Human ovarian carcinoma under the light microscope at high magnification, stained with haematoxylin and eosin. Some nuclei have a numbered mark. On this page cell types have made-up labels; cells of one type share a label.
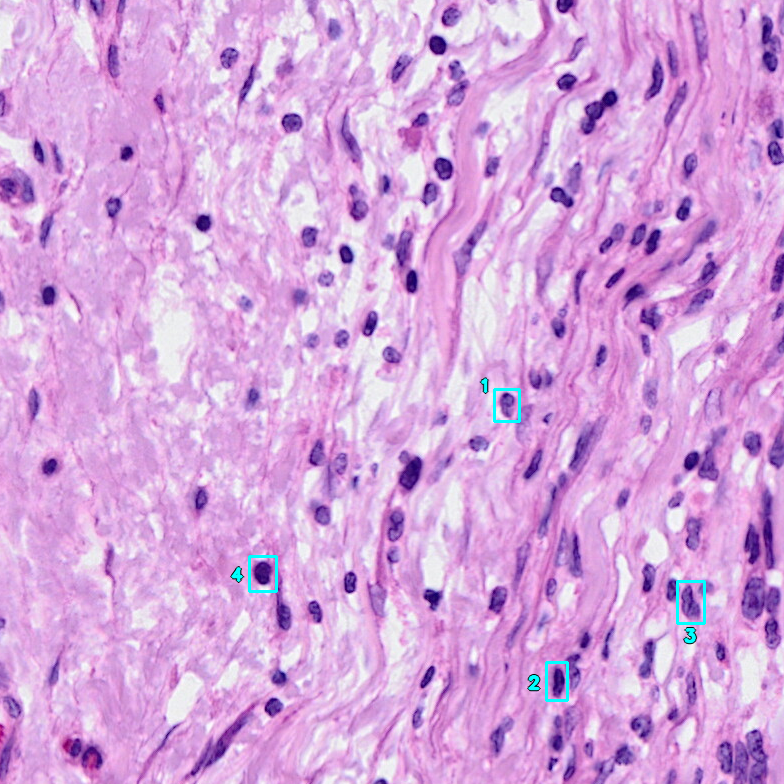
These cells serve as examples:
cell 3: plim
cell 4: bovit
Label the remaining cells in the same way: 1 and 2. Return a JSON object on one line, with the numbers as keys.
{"1": "bovit", "2": "bovit"}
